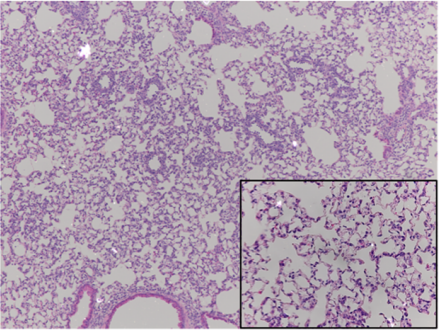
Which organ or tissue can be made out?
Lung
